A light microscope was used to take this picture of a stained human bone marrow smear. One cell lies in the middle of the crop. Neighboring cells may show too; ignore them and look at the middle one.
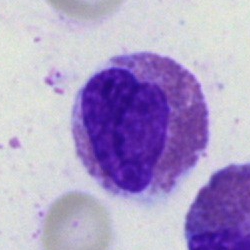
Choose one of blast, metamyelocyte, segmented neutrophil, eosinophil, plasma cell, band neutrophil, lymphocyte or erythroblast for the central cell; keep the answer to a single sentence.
Answering briefly, the cell in the middle is an eosinophil.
